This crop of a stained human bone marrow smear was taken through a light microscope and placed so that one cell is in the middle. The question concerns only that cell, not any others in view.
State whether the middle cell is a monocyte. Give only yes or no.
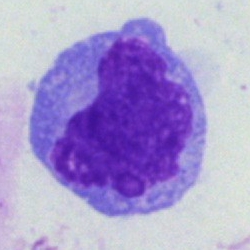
yes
